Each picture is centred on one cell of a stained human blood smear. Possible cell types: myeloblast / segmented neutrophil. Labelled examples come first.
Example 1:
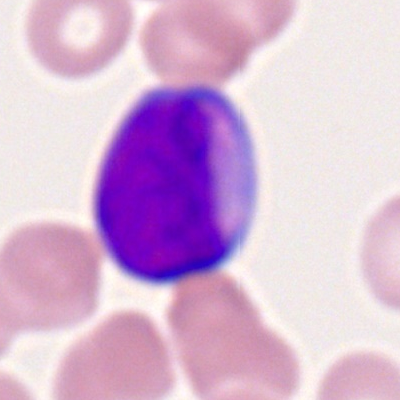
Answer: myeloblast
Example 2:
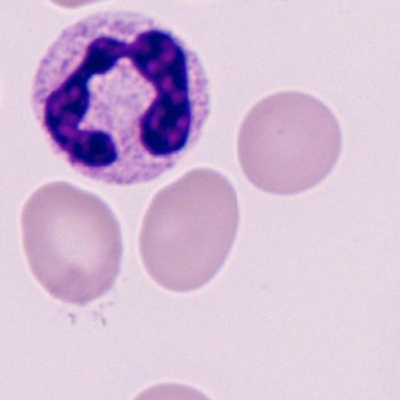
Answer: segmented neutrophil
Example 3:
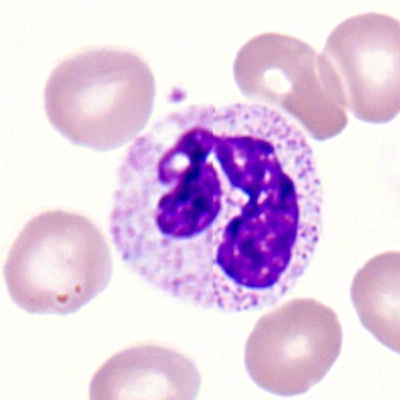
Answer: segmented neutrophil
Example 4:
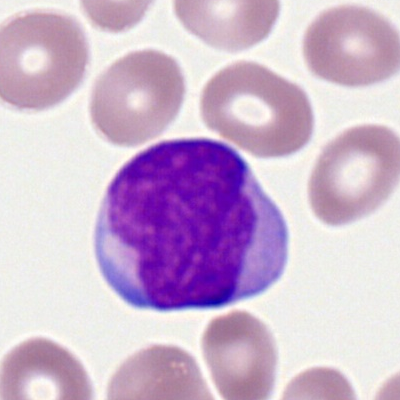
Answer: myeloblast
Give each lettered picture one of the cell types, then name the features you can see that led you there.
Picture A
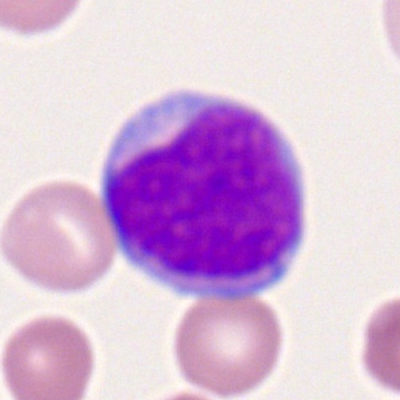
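myeloblast: The nucleus fills most of the cell.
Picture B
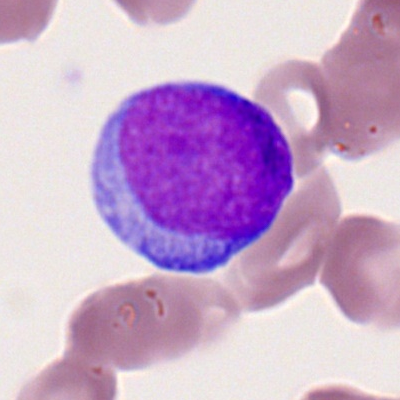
myeloblast: The cytoplasm is deep blue.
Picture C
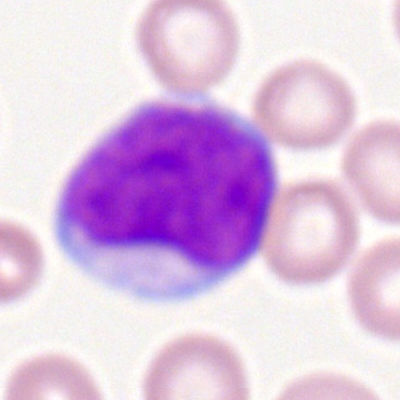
myeloblast: The nucleus fills most of the cell.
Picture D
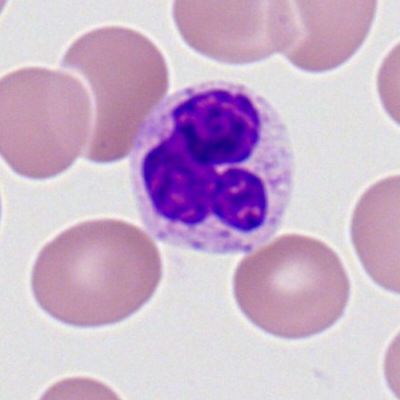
segmented neutrophil: The nucleus is divided into three lobes.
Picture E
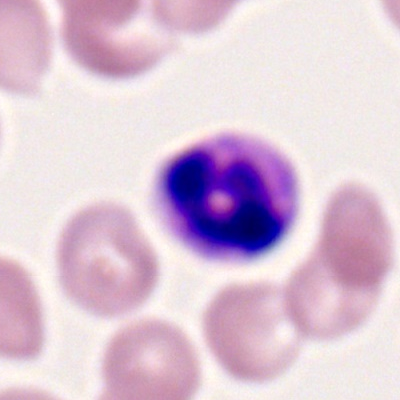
segmented neutrophil: The nucleus is curved, wrapping around a small pale central spot.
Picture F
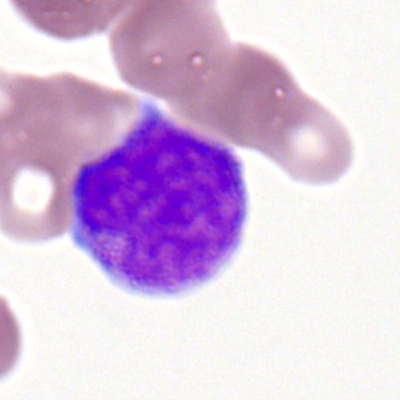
myeloblast: The cytoplasm is a very thin pale blue rim, seen mostly along the left edge.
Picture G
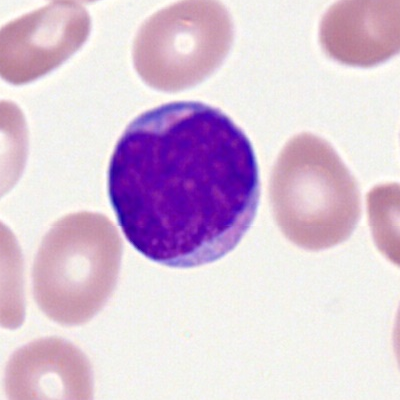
myeloblast: The cytoplasm is a scant pale blue rim, widest as crescents at the top and lower right.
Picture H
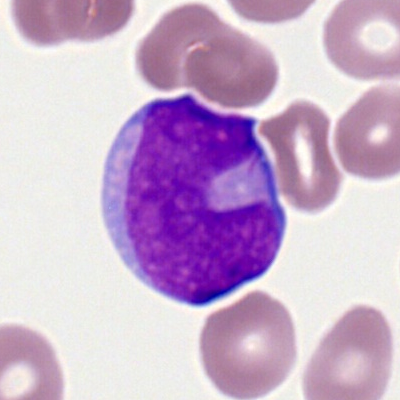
myeloblast: The cytoplasm forms a thin rim that is widest on the left side.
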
